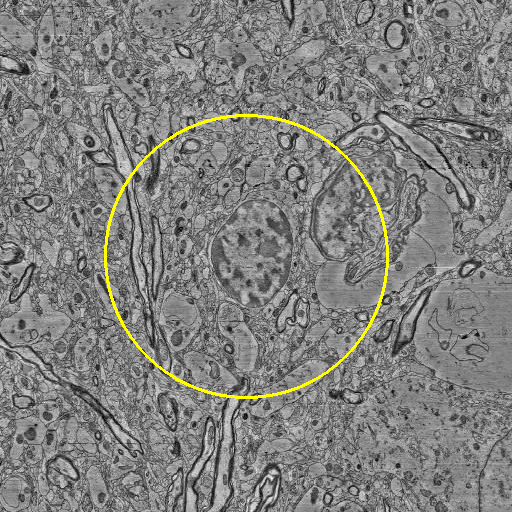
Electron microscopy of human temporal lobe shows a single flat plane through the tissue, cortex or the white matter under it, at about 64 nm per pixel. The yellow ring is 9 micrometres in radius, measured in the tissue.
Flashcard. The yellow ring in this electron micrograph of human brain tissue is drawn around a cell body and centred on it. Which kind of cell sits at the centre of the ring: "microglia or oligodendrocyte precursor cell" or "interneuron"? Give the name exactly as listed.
microglia or oligodendrocyte precursor cell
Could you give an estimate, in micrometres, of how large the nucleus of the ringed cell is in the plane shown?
Roughly 7 micrometres by 5 micrometres, in this plane.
